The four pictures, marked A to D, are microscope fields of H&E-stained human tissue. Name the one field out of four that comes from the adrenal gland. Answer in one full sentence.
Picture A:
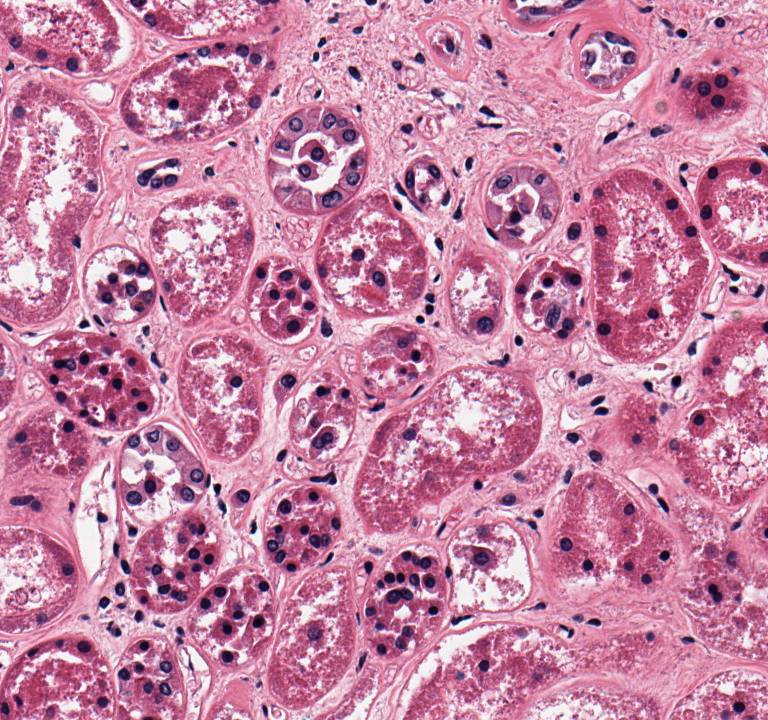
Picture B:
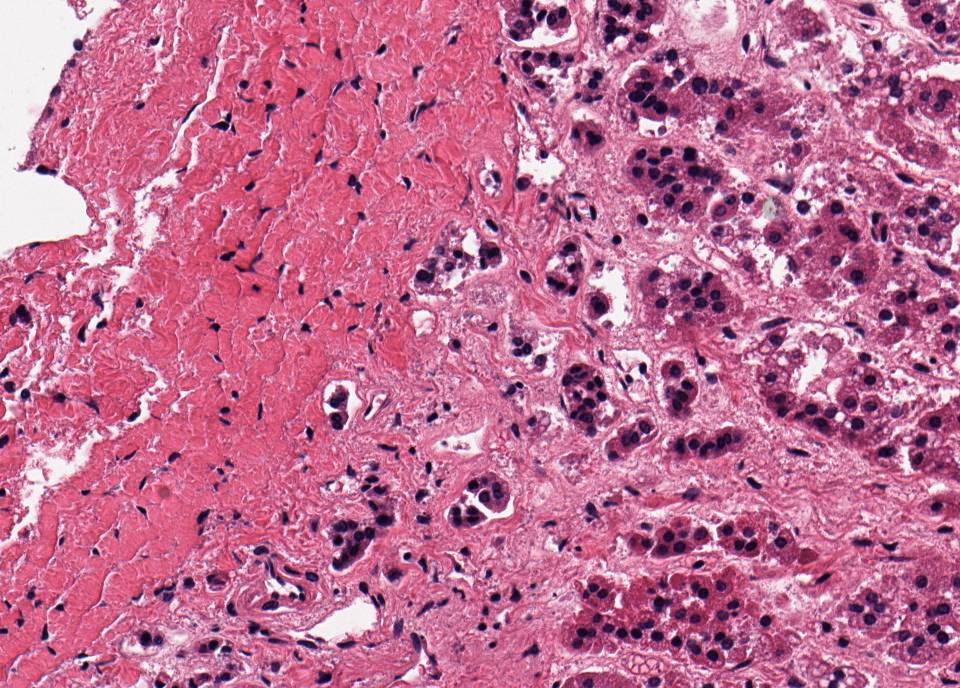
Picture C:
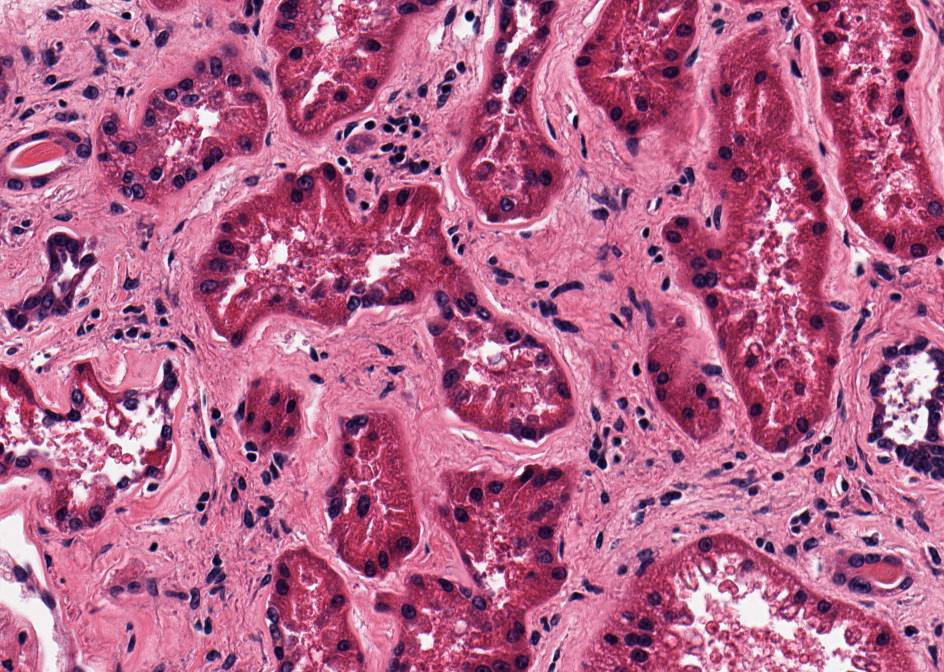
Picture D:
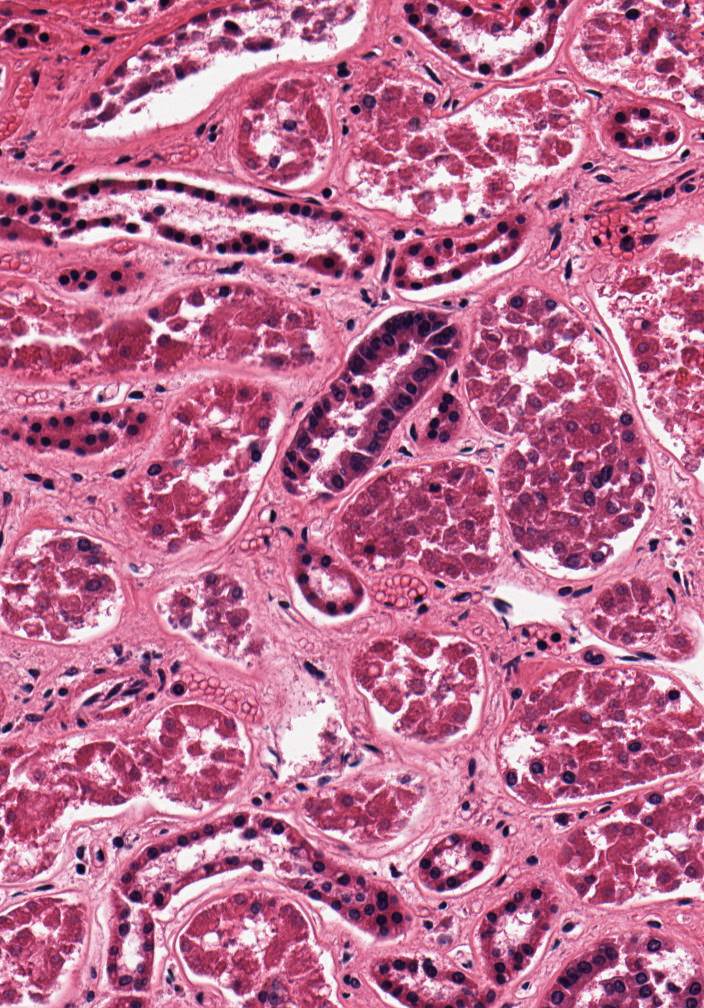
The one that comes from the adrenal gland is picture B.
